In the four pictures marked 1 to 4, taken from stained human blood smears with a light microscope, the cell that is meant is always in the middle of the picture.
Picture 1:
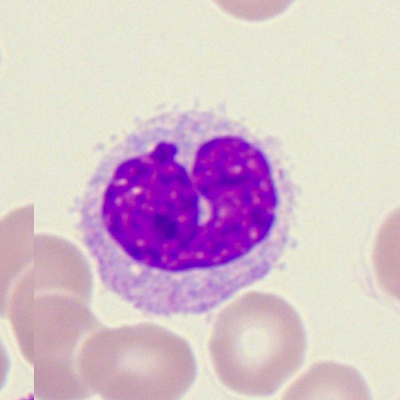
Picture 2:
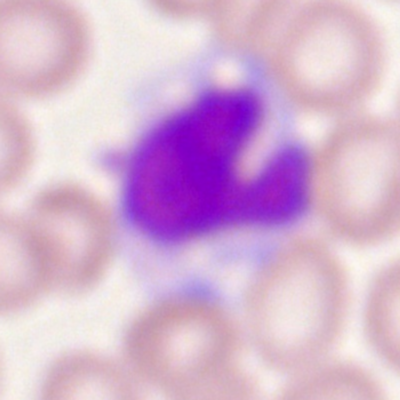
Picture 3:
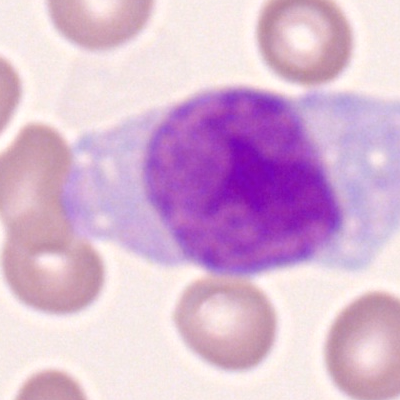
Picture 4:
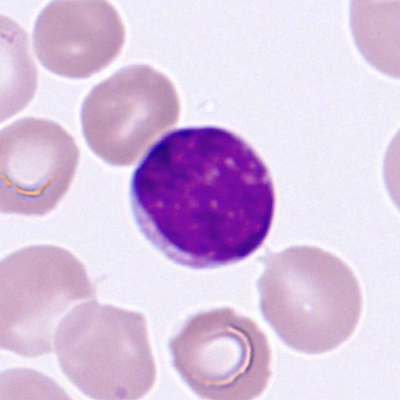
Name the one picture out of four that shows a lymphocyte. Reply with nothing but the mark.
4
